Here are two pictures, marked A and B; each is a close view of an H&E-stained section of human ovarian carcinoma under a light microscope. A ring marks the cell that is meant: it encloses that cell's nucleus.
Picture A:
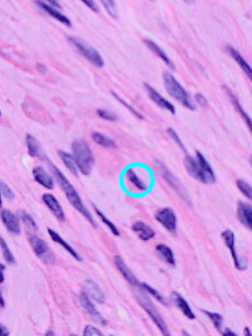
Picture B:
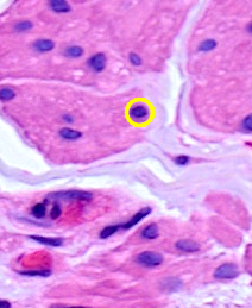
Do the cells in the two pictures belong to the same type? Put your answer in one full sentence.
Yes, both are smooth muscle cells.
